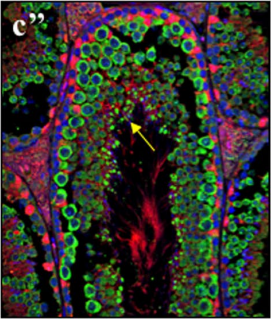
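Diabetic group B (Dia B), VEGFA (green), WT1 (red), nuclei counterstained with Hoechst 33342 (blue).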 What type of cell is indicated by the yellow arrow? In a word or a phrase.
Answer: Spermatids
